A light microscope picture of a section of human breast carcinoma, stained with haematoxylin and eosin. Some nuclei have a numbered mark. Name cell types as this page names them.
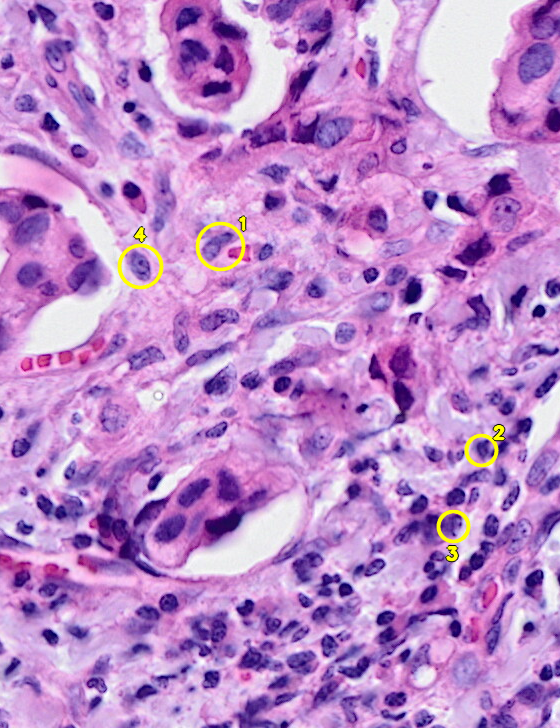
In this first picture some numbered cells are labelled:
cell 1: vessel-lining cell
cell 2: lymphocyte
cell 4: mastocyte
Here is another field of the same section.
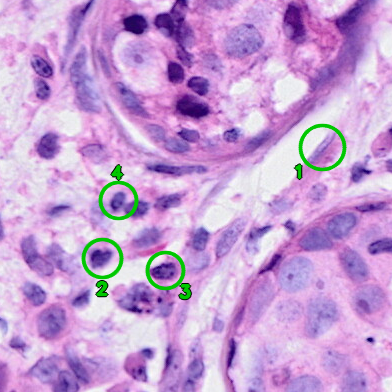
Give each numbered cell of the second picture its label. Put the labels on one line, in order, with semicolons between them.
vessel-lining cell; lymphocyte; mastocyte; lymphocyte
